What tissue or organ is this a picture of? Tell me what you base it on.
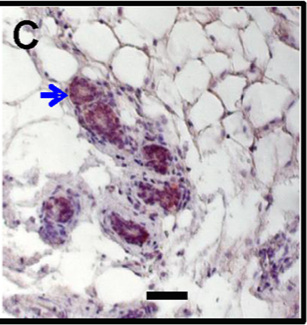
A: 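Normal breast. Most of the field is large empty fat cells. A few small round ducts lie scattered among the fat cells.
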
